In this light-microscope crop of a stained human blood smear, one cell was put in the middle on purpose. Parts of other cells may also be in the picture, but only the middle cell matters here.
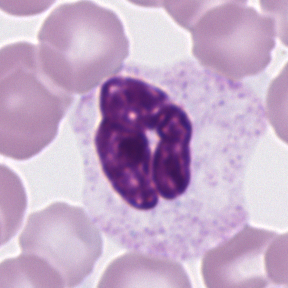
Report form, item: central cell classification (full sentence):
Here the cell in the middle is a segmented neutrophil.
